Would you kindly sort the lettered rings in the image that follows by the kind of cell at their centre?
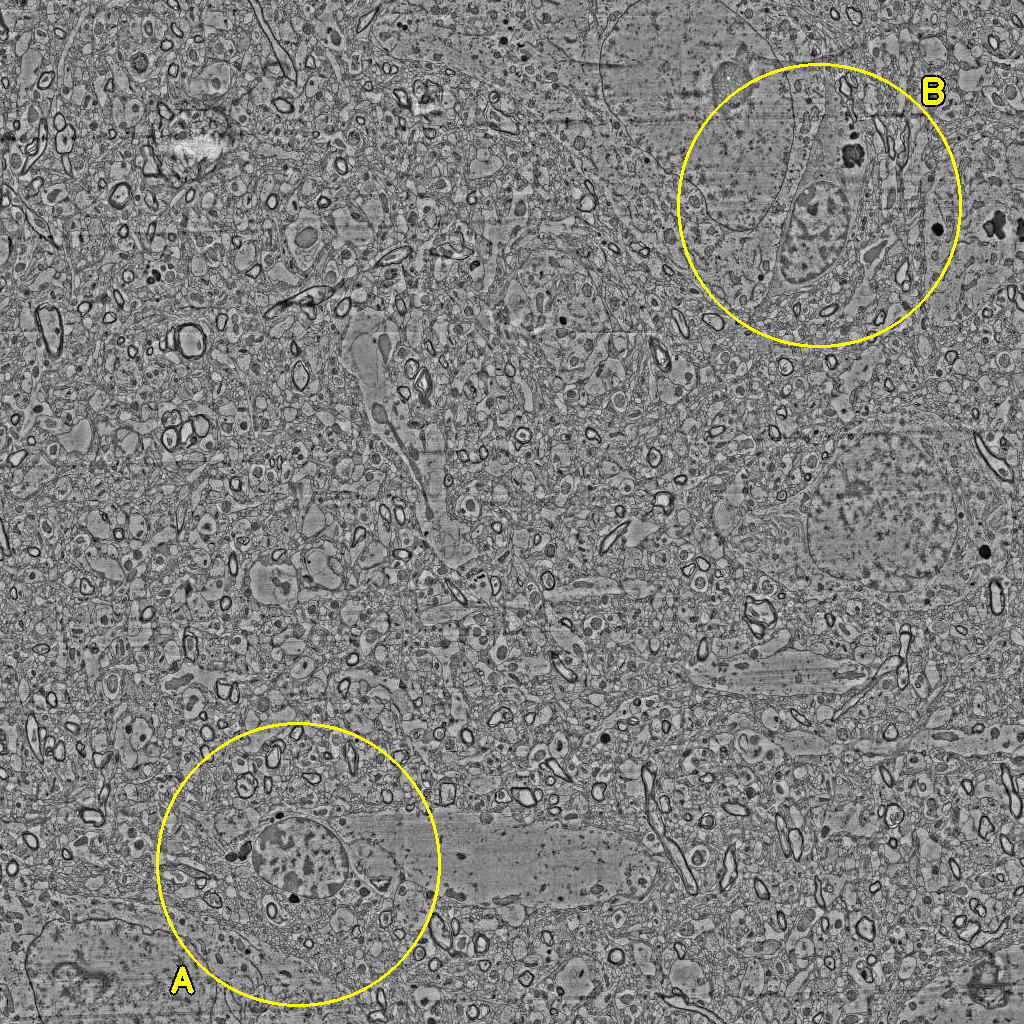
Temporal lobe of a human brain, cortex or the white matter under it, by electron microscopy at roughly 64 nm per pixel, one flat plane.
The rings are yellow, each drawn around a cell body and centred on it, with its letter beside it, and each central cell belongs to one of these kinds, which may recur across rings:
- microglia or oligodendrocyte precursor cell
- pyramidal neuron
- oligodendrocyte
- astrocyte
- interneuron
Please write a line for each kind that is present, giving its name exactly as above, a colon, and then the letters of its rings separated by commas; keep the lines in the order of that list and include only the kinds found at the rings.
microglia or oligodendrocyte precursor cell: A
oligodendrocyte: B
